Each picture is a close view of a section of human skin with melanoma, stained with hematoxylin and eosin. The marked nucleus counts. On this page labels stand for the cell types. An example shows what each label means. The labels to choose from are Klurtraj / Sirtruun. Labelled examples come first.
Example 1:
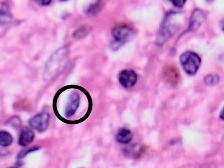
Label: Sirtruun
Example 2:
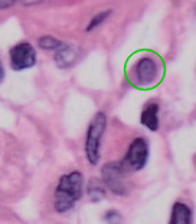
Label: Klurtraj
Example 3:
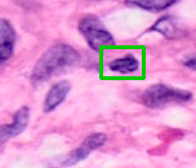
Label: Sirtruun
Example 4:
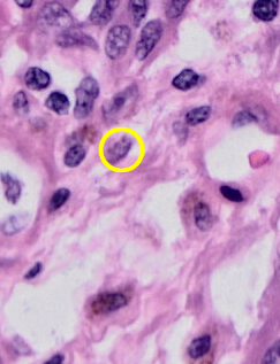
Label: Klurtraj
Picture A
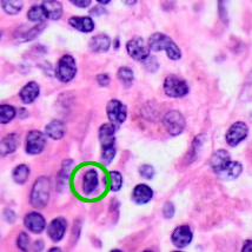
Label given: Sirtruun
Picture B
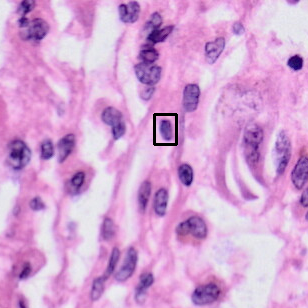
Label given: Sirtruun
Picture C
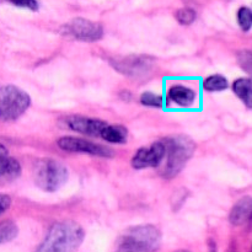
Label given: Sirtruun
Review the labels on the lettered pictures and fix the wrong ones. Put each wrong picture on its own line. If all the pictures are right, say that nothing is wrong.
None of the labels needs changing.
